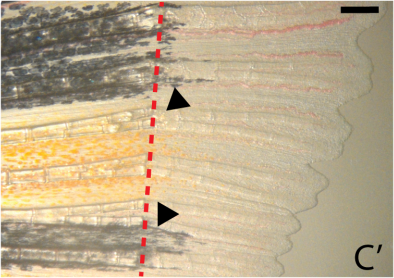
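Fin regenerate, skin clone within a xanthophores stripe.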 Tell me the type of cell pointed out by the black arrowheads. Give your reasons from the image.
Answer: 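These pigmented cells are clustered in dark stripes of the fin.
Answer: melanocytes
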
